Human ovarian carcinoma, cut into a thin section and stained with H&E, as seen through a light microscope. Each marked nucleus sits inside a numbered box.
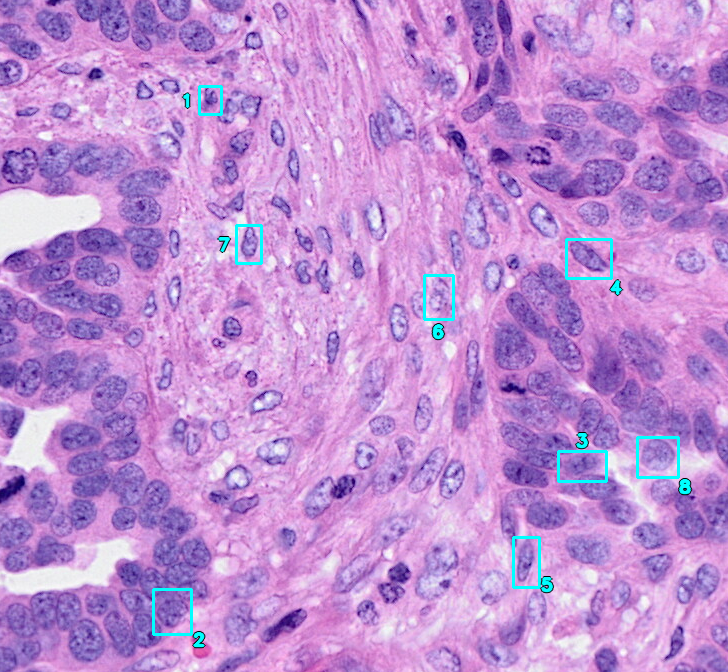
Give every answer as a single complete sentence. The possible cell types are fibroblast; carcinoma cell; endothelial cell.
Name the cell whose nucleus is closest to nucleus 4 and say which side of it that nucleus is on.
It is a carcinoma cell, whose nucleus lies below and to the left of nucleus 4.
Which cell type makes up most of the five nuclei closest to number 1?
Of the five nuclei nearest to number 1, most belong to endothelial cells.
